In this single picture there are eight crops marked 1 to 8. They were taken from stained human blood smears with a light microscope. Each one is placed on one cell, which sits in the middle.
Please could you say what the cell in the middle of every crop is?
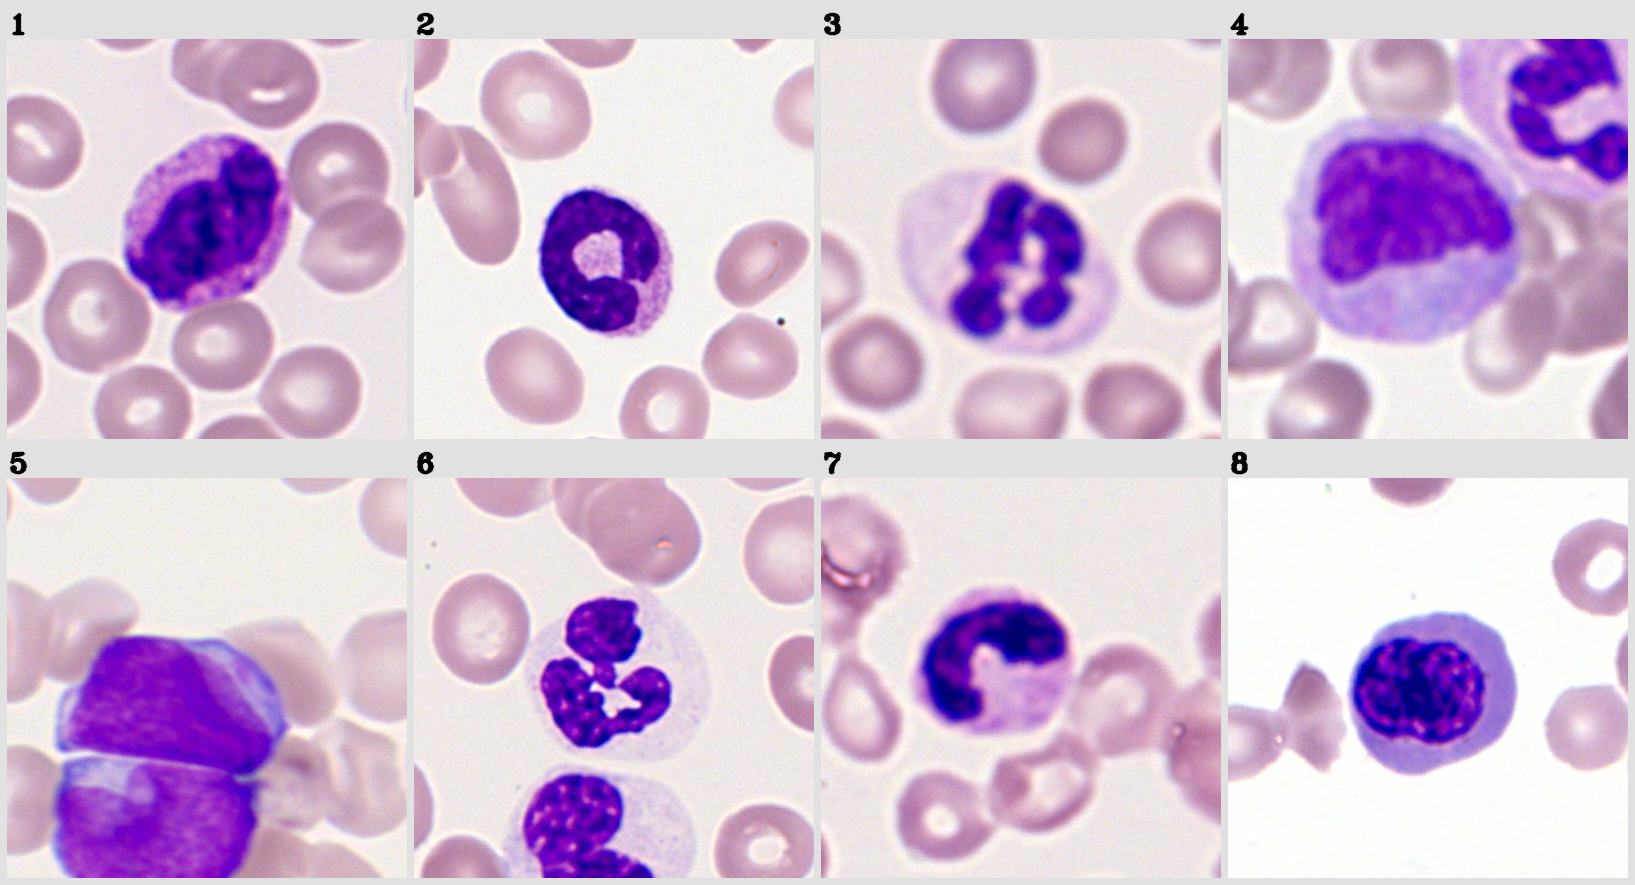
1: basophil
2: band neutrophil
3: segmented neutrophil
4: monocyte
5: myeloblast
6: segmented neutrophil
7: band neutrophil
8: erythroblast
